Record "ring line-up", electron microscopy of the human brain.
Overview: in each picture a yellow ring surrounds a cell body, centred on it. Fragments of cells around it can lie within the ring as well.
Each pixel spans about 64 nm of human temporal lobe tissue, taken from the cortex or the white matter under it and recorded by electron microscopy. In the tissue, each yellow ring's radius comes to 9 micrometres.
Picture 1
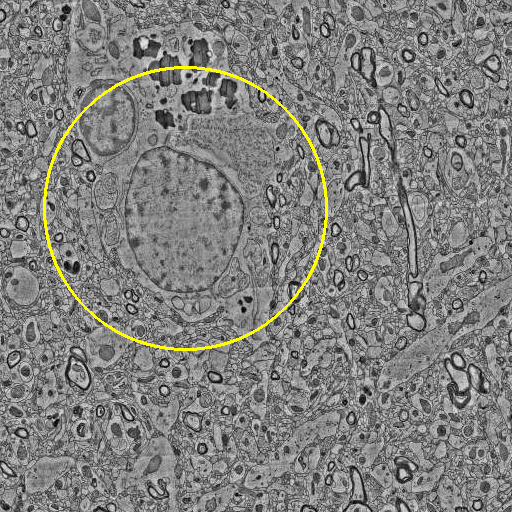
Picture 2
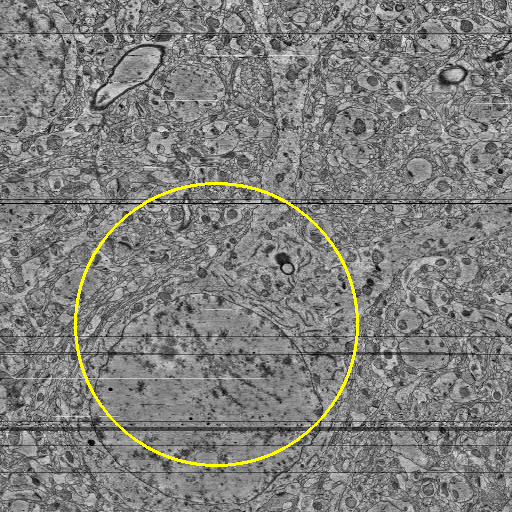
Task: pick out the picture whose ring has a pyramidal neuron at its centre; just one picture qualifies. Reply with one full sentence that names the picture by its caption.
Going by the cell at the ring's centre, the right choice is Picture 2.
